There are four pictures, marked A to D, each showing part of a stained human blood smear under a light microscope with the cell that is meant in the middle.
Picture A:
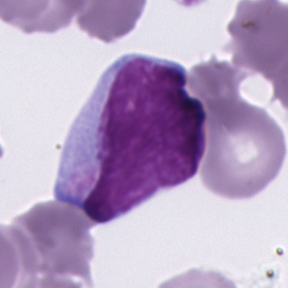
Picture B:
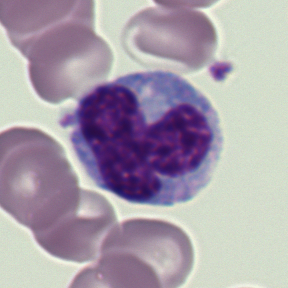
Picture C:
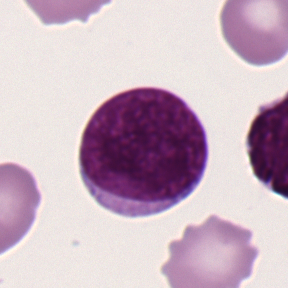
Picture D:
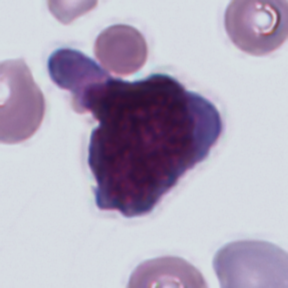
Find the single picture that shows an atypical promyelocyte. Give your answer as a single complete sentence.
The atypical promyelocyte is the one in picture D.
